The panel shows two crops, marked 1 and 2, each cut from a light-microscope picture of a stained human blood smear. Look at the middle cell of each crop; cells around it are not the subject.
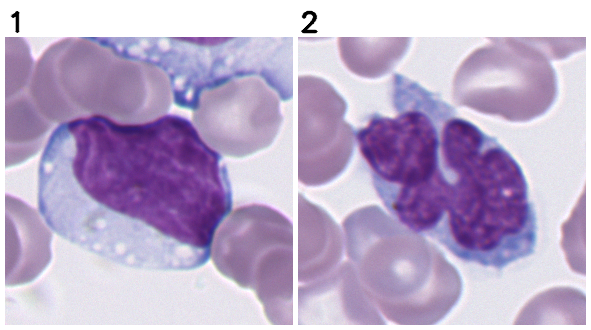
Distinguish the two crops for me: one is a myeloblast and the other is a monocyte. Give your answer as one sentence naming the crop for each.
Crop 1 is to be read as a myeloblast and crop 2 as a monocyte.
